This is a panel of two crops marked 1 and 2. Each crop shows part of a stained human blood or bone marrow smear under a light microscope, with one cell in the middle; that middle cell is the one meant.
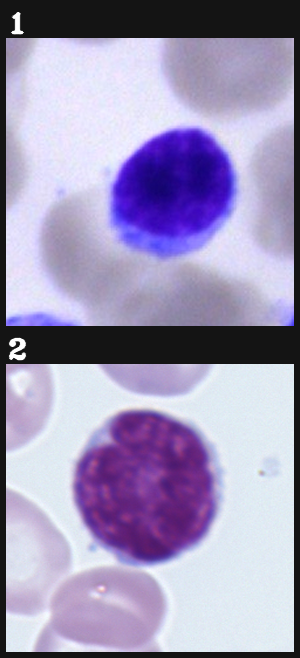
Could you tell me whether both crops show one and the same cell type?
yes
